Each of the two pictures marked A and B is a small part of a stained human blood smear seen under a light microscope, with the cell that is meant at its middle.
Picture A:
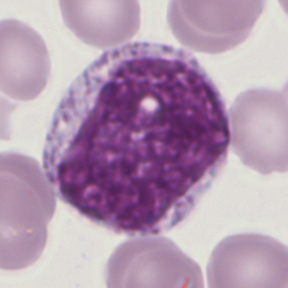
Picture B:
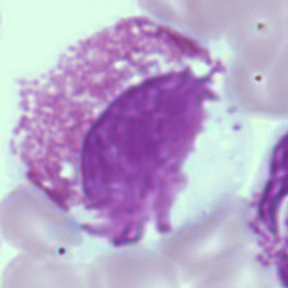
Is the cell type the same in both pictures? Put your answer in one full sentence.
No, they differ: the cell is a myelocyte in picture A and an eosinophil in picture B.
